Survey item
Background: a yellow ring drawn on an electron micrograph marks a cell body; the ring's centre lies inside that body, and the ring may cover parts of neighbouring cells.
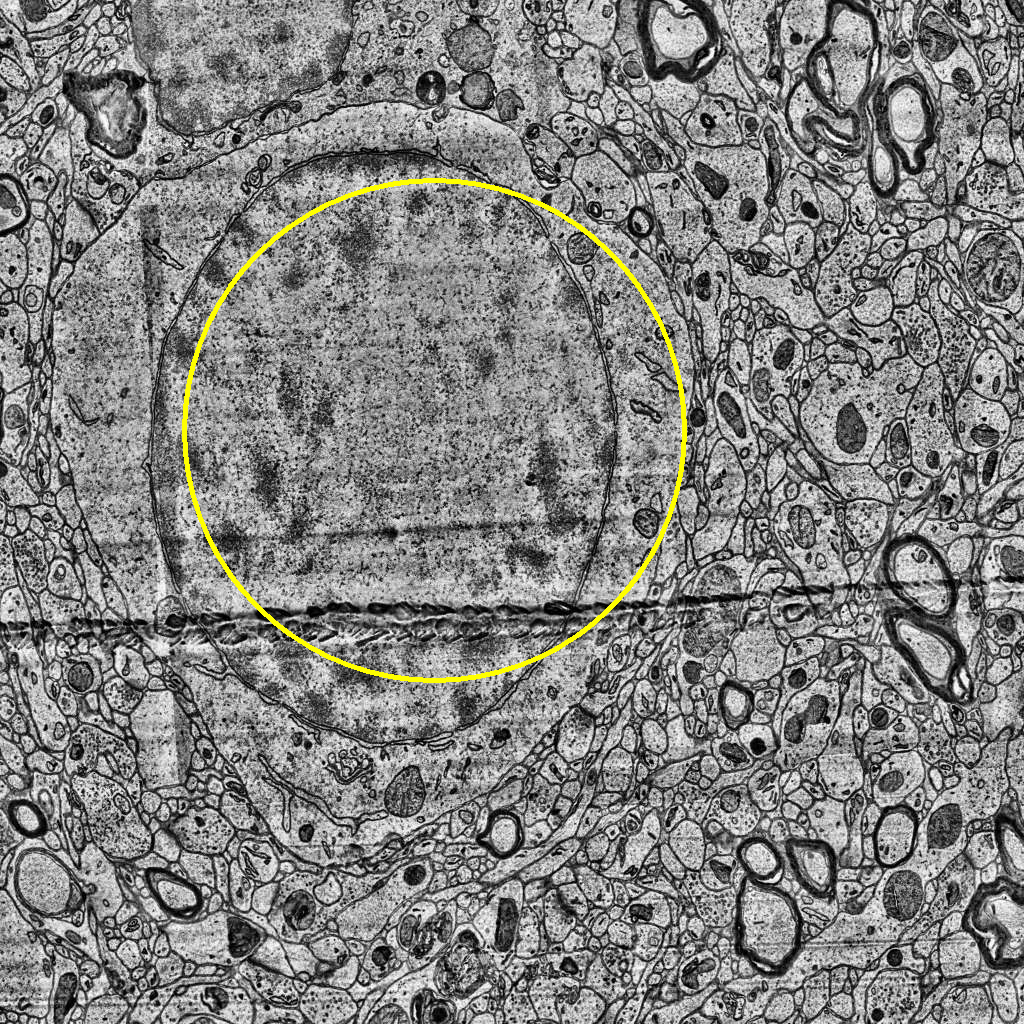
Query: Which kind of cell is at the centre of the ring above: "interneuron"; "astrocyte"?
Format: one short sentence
The cell in the middle of the ring is an interneuron.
